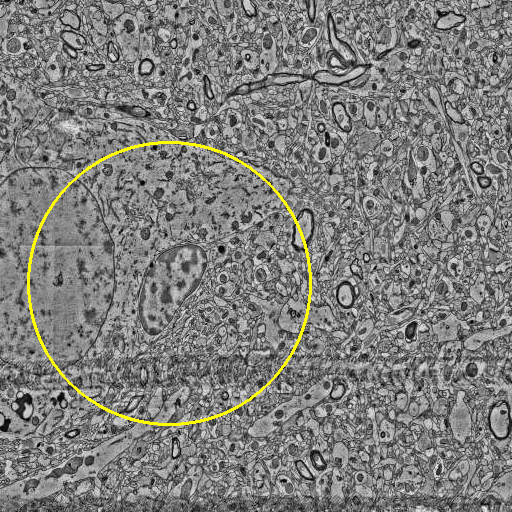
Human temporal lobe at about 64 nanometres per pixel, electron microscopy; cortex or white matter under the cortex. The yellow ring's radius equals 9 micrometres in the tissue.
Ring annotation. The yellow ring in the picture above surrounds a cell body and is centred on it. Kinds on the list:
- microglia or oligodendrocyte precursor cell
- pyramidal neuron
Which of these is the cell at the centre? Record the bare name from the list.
microglia or oligodendrocyte precursor cell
